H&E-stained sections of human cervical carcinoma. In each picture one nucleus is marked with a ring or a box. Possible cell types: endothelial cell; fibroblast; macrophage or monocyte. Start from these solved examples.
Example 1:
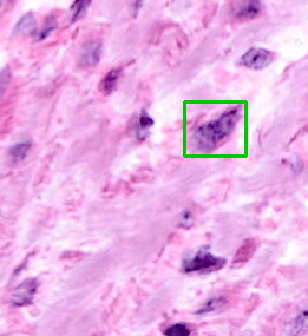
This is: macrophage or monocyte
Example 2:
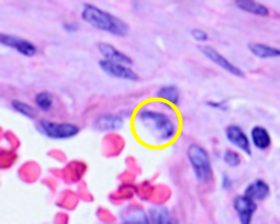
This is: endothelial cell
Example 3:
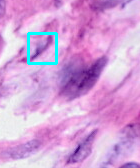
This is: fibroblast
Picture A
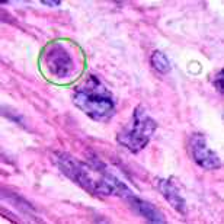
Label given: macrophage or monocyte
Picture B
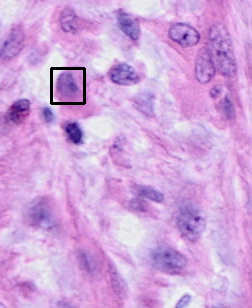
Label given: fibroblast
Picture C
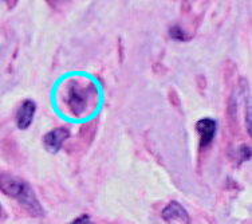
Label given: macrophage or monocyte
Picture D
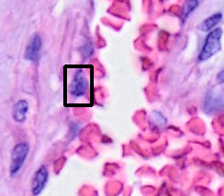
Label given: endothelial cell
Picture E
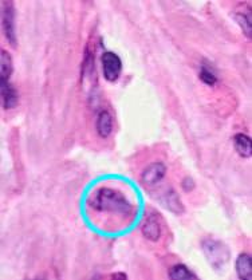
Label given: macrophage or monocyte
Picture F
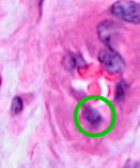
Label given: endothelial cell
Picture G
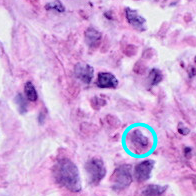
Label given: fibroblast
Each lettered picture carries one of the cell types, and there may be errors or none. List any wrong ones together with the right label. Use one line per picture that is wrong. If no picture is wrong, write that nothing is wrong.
Wrong: B (fibroblast); correct: macrophage or monocyte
